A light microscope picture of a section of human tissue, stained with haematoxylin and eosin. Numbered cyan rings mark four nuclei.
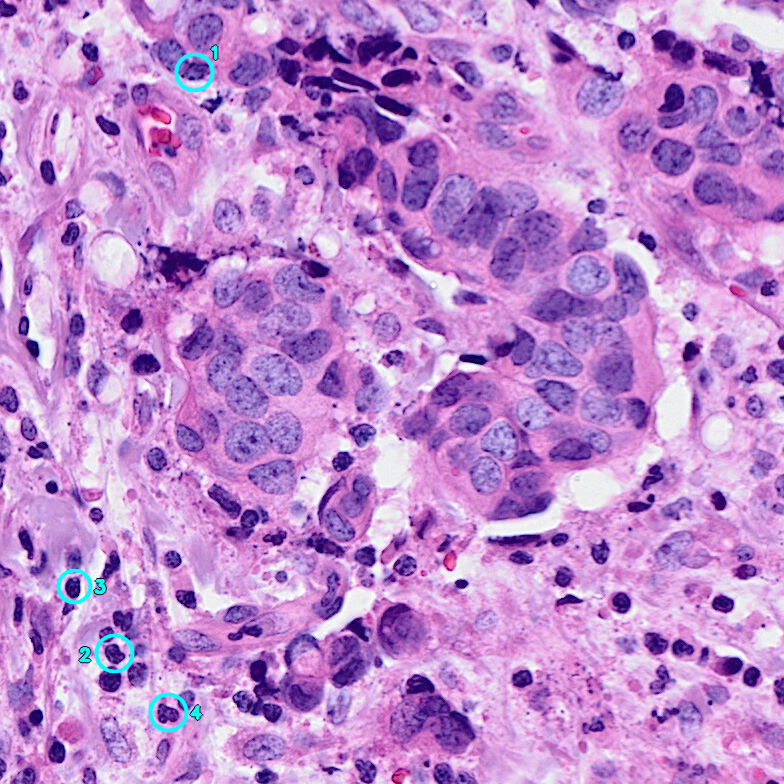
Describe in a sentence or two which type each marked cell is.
Cell 1 is a carcinoma cell. Cells 2, 3 and 4 are lymphocytes.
